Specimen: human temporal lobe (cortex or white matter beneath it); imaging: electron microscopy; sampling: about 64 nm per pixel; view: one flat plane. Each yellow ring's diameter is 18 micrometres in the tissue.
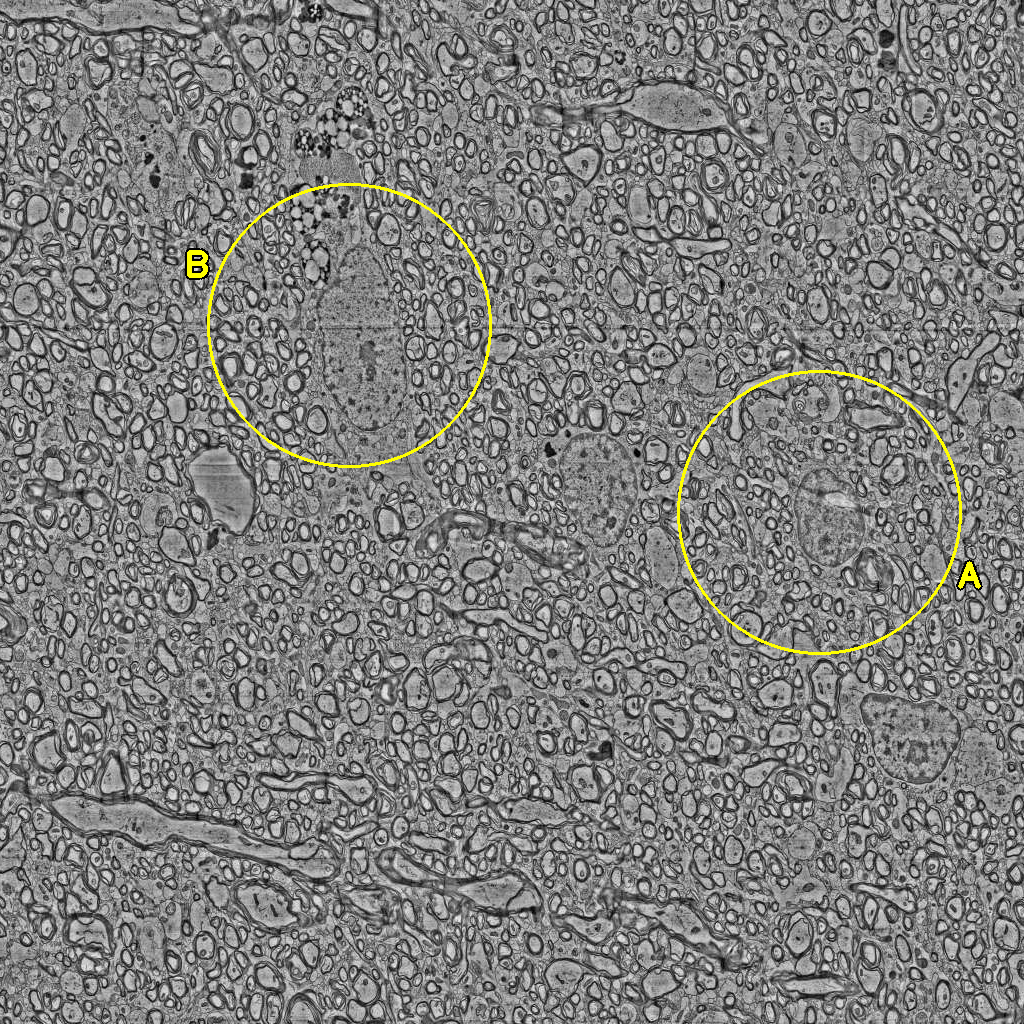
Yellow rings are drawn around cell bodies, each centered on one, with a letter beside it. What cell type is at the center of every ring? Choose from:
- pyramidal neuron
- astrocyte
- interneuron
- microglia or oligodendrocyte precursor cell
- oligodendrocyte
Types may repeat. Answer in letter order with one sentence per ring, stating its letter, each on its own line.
The cell at the center of ring A is an oligodendrocyte.
The cell at the center of ring B is an astrocyte.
